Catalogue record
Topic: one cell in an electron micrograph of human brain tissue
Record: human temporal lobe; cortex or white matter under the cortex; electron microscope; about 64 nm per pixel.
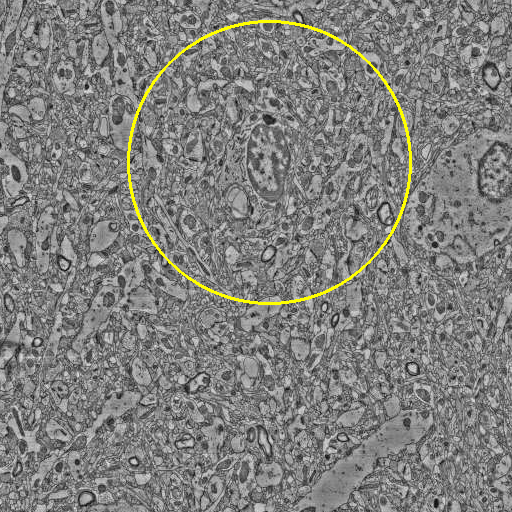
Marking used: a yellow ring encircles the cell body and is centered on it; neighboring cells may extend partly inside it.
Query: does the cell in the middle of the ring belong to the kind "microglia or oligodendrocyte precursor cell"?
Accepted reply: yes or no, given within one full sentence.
Yes, the cell centered in the ring in the picture is of that kind.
